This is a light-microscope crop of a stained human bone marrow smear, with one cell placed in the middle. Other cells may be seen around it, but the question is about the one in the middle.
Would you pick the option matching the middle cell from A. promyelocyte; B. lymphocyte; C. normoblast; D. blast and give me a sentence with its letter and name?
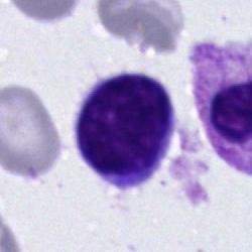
The centrally positioned cell is a lymphocyte, consistent with option B, which is correct.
